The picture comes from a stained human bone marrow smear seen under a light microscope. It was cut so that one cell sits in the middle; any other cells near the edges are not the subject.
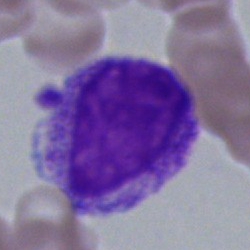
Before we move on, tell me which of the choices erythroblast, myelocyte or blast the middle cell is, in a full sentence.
Standing at the centre of this crop is a myelocyte.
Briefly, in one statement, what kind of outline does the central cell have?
The cell membrane follows an uneven contour, either ragged or bearing projections.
